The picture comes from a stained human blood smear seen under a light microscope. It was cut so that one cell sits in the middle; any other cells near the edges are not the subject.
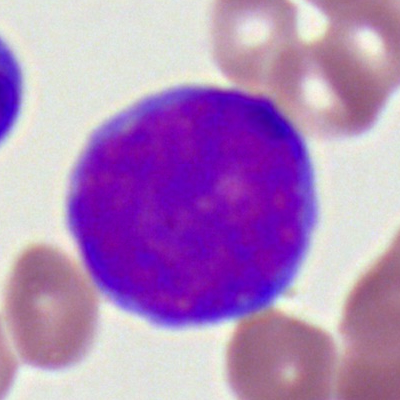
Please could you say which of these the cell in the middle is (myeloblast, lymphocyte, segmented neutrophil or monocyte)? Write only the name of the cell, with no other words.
myeloblast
